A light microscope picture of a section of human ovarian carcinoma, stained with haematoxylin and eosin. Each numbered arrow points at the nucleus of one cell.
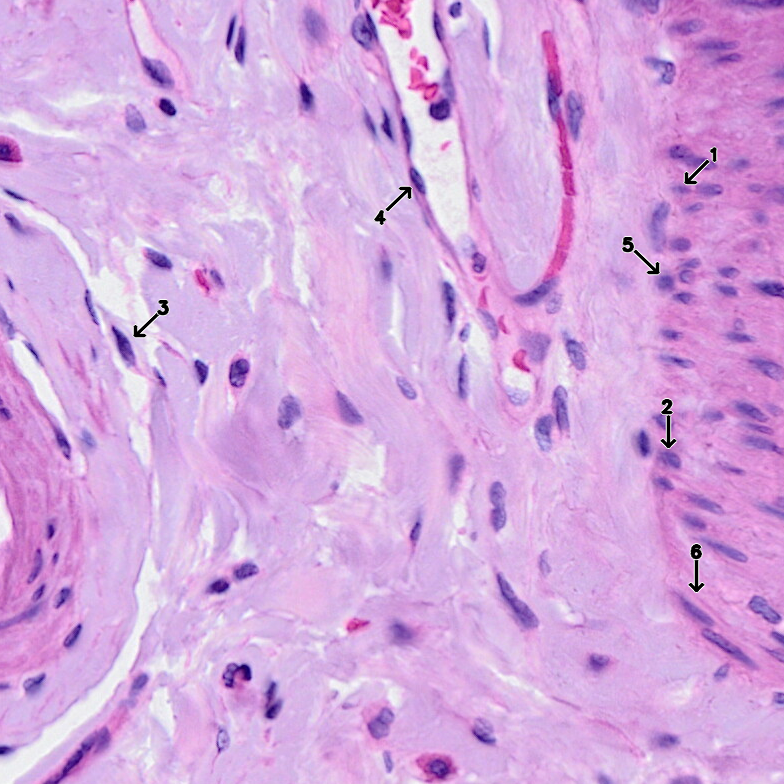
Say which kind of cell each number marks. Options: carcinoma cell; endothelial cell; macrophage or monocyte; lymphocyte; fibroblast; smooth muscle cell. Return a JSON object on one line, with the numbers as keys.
{"1": "smooth muscle cell", "2": "smooth muscle cell", "3": "fibroblast", "4": "endothelial cell", "5": "smooth muscle cell", "6": "smooth muscle cell"}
